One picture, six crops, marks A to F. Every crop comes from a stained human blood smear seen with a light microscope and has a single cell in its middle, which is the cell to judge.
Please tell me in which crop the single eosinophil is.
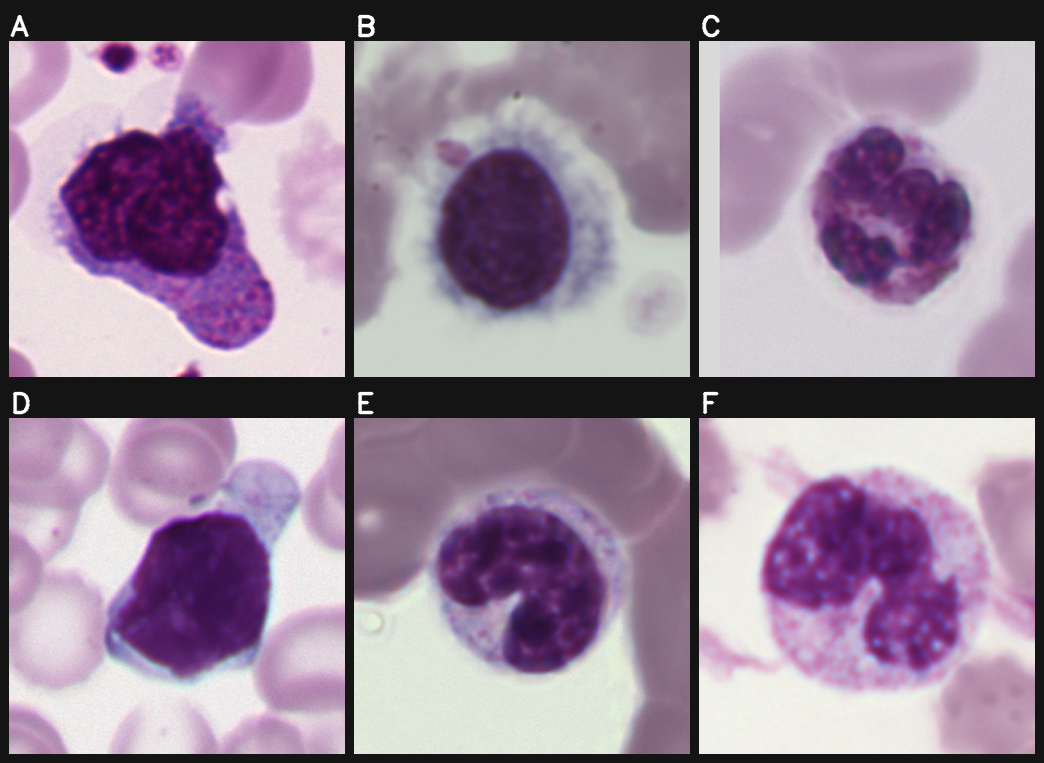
C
